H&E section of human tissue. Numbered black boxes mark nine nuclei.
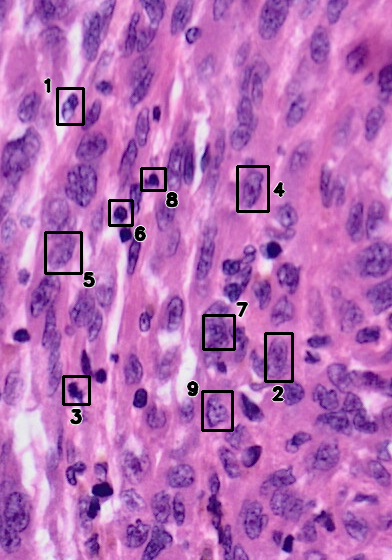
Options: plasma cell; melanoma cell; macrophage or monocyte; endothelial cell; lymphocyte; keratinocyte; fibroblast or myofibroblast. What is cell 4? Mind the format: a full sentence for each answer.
Among the marked cells, number 4 is a melanoma cell.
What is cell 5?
The label 5 in this section denotes a melanoma cell.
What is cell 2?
The cell given label 2 is a melanoma cell.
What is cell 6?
The cell identified by the number 6 is a lymphocyte.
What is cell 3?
Cell 3 is classified as a lymphocyte.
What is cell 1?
In this section, the cell tagged 1 is a lymphocyte.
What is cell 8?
The mark numbered 8 indicates the nucleus of a lymphocyte.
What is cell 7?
The cell numbered 7 represents a melanoma cell.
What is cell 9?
The cell assigned the number 9 is a melanoma cell.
